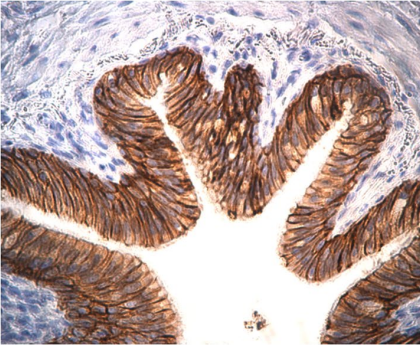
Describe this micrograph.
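The brown stain sharply outlines the membranes of the closely packed epithelial cells, giving a honeycomb-like pattern, while their elongated nuclei appear blue. Beneath the epithelium lies pale connective tissue with scattered blue nuclei and no brown stain.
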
